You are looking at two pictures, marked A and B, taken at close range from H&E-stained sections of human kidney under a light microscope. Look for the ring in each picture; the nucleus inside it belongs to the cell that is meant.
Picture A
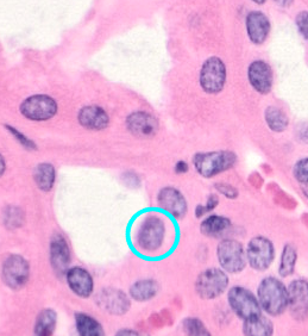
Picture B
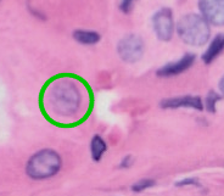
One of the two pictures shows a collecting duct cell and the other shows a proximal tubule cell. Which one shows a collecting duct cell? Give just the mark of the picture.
A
